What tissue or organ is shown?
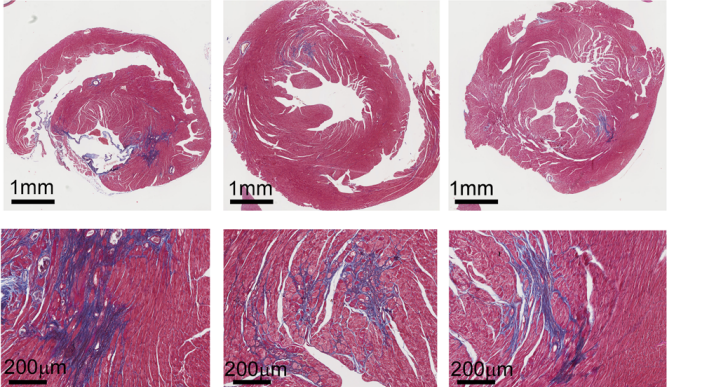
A: heart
